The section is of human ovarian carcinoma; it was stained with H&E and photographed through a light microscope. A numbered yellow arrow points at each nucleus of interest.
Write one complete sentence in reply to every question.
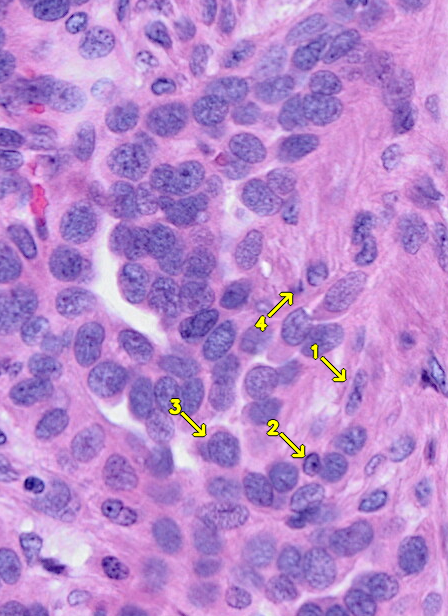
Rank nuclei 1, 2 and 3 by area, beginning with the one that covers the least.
The order from the smallest nucleus to the largest is 2, 1, 3.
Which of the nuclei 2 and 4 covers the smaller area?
With nucleus 2 about 2 times its size, nucleus 4 is the smaller of the two.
